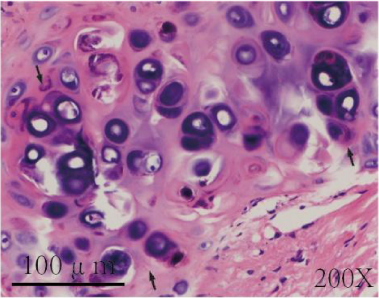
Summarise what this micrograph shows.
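Here is cartilage with many chondrocytes, each rounded and lying within a clear space, a lacuna, set in a smooth pale purple-pink matrix. The cells have dark purple nuclei and many lacunae carry a deep purple rim of matrix around them. Some cells lie singly, others two or more together in small groups sharing one matrix area, like isogenous groups. Toward the right edge the cartilage gives way to pink fibrous tissue with flattened, elongated nuclei, a perichondrium-like layer. Cracks and clear gaps run through the matrix in places, likely from sectioning.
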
